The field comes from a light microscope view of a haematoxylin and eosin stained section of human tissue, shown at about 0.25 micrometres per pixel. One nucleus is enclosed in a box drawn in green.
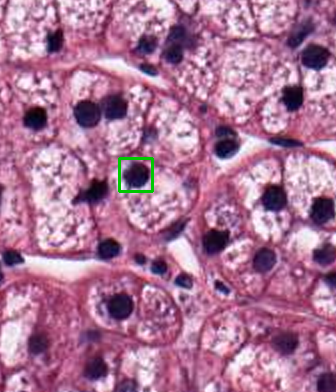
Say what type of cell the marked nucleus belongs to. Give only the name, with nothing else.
adrenal cortical cell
